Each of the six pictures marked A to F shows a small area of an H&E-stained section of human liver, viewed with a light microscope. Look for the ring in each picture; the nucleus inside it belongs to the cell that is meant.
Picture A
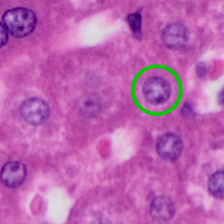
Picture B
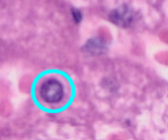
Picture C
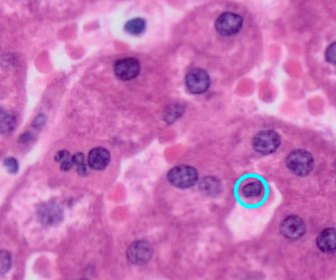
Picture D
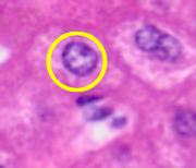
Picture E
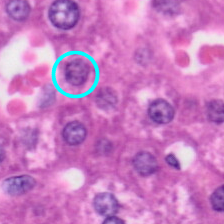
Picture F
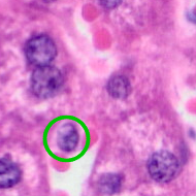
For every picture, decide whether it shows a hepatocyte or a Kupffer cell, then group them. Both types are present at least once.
A: hepatocyte
B: hepatocyte
C: Kupffer cell
D: hepatocyte
E: hepatocyte
F: Kupffer cell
